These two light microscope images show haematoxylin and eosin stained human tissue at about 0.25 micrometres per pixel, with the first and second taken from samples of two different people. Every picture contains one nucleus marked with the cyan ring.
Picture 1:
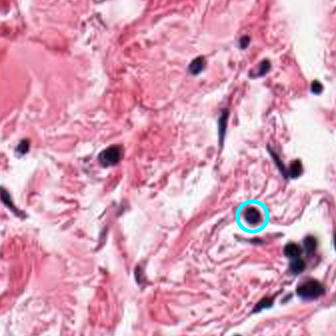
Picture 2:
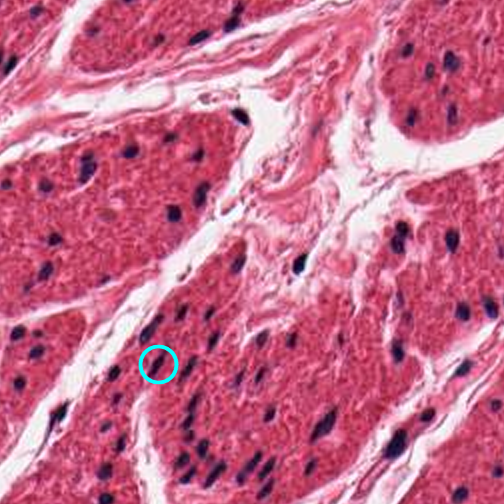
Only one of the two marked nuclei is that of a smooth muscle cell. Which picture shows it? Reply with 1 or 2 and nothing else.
2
